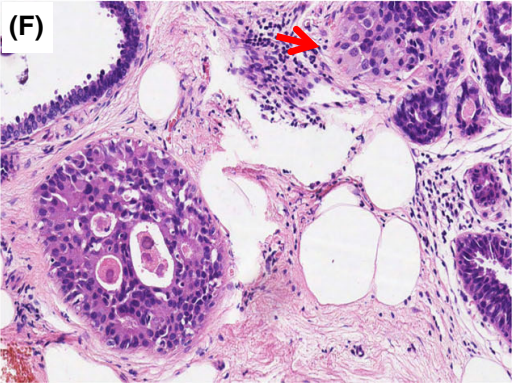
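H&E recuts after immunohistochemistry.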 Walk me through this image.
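A rounded duct is filled by a solid sheet of cells with round nuclei and pink cytoplasm, pierced by a few rounded spaces holding secretion, set in fibrous and fatty stroma. At the upper edge larger pale cells lie scattered within the lining of a neighbouring small lobule. This is a luminal proliferation of larger cells with poorly formed punched-out spaces and pagetoid spread.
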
